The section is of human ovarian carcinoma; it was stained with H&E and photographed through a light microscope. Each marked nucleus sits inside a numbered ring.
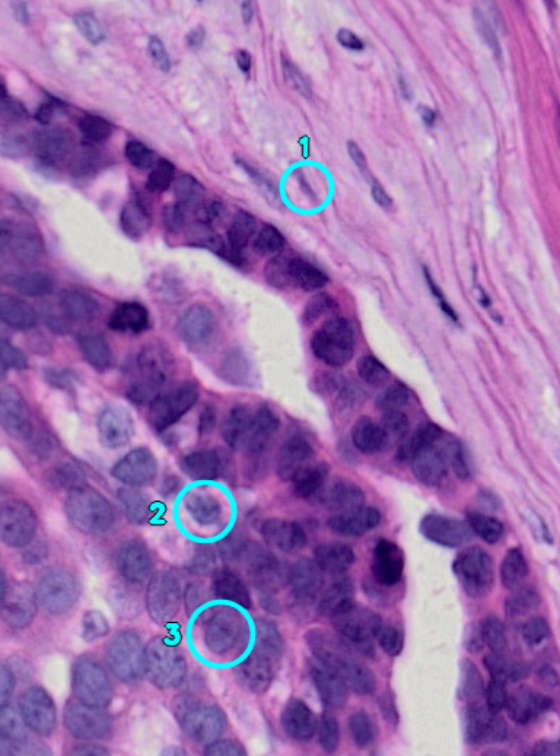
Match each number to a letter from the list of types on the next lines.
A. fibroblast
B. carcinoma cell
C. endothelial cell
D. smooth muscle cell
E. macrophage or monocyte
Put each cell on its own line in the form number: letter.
1: A
2: E
3: B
